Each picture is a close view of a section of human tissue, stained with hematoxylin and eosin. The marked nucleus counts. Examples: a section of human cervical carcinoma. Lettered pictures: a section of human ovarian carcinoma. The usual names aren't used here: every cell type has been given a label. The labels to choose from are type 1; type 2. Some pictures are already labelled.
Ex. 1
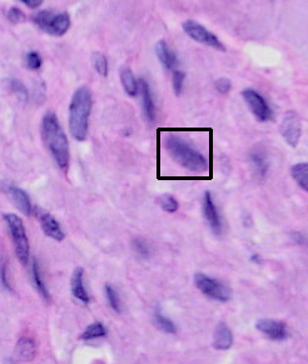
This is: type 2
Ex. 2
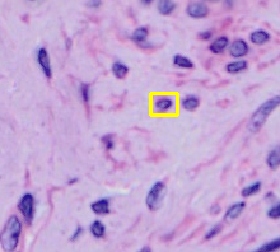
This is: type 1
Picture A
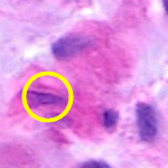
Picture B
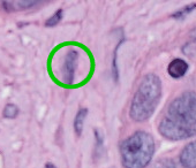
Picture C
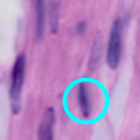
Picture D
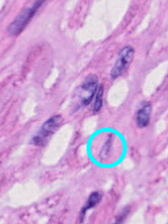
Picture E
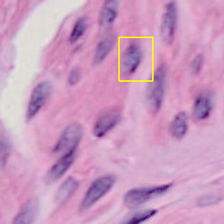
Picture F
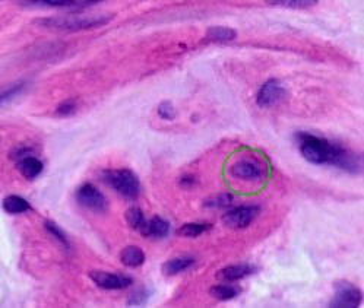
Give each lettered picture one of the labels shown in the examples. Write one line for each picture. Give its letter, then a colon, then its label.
A: type 1
B: type 2
C: type 1
D: type 2
E: type 1
F: type 1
